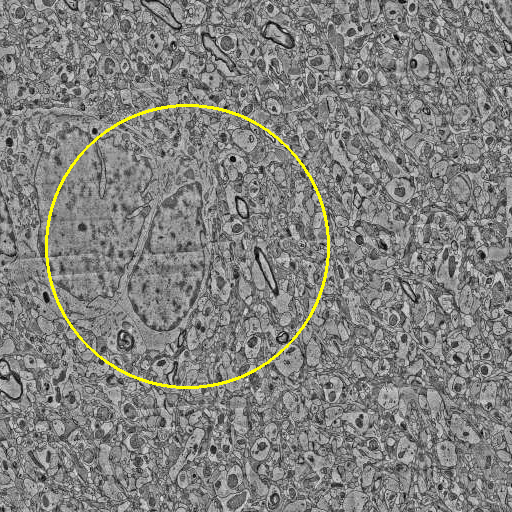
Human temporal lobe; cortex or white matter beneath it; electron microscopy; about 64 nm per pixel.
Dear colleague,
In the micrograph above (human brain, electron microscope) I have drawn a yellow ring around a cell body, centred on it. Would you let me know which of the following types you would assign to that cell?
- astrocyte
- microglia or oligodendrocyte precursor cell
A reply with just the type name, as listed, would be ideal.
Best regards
microglia or oligodendrocyte precursor cell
